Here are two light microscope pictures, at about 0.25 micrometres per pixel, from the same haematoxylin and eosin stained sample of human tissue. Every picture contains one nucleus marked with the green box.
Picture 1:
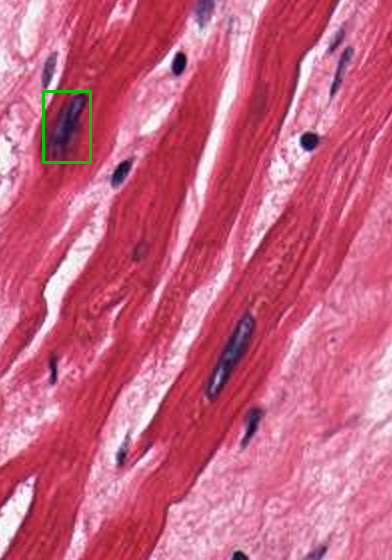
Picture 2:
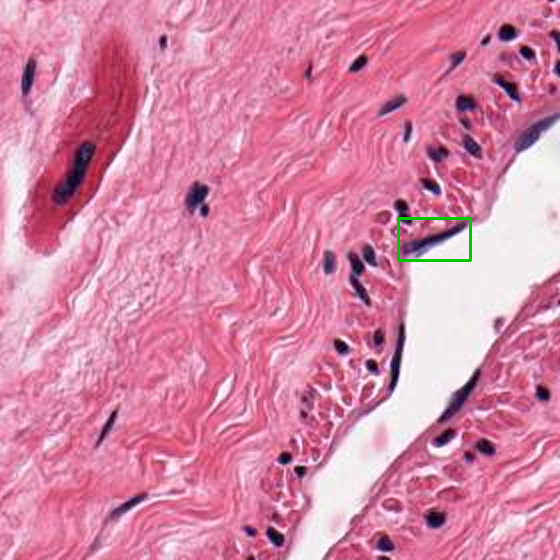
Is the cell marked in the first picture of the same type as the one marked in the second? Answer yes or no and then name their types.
No, the first is a cardiomyocyte and the second an endothelial cell.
